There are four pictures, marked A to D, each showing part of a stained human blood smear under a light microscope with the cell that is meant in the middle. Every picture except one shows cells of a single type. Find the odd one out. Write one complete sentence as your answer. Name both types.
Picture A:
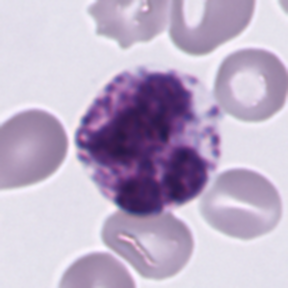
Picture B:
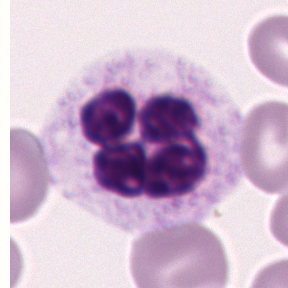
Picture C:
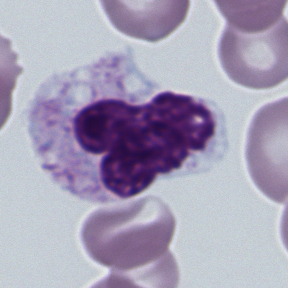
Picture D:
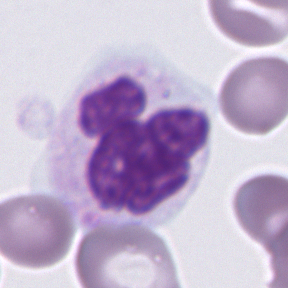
The different one is picture A; it shows a basophil, whereas all the others show segmented neutrophils.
